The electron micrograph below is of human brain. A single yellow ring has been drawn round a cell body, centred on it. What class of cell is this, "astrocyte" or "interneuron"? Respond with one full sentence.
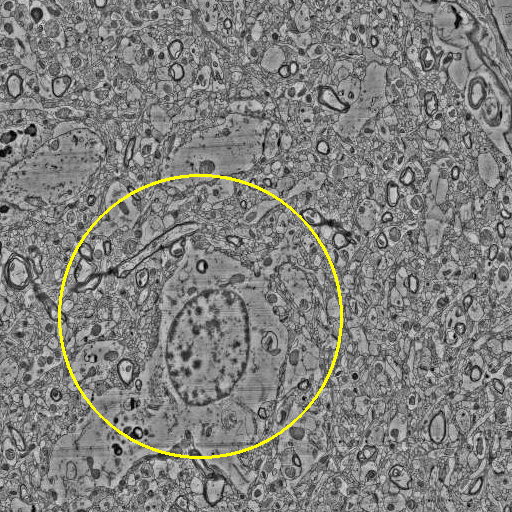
In the micrograph, the cell centred inside the yellow ring is an astrocyte.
